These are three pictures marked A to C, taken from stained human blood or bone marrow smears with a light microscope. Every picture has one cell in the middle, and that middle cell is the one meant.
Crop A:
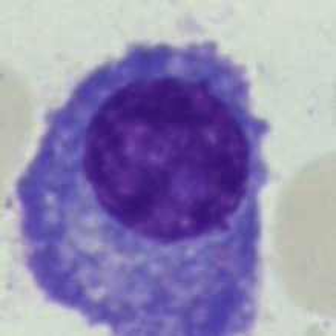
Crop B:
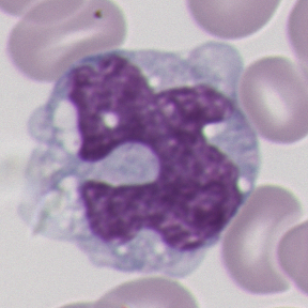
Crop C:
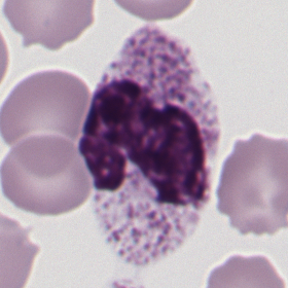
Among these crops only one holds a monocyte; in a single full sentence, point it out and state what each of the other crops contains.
Crop B corresponds to a monocyte, whereas crop A is a plasma cell and crop C is a segmented neutrophil.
